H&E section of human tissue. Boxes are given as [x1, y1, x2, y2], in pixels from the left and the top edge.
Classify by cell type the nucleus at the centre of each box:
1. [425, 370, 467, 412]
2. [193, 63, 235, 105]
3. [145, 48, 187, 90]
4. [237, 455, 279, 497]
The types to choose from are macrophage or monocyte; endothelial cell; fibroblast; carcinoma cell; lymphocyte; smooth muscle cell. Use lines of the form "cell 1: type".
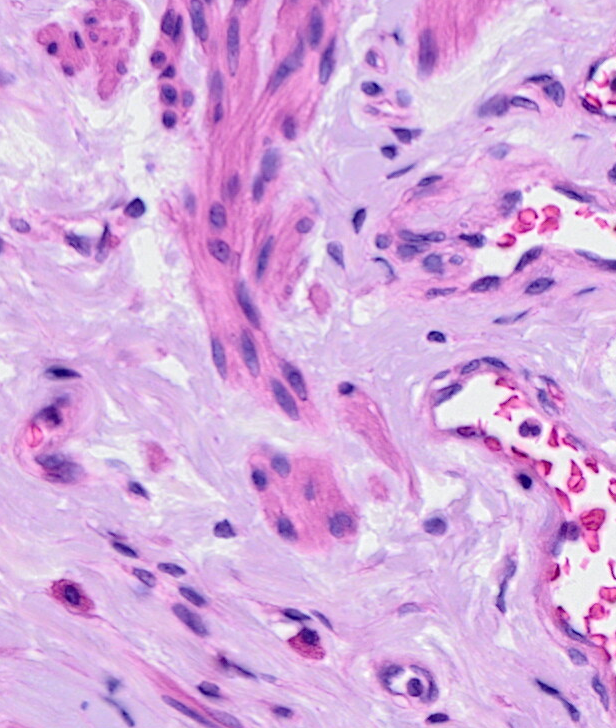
cell 1: endothelial cell
cell 2: smooth muscle cell
cell 3: smooth muscle cell
cell 4: smooth muscle cell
